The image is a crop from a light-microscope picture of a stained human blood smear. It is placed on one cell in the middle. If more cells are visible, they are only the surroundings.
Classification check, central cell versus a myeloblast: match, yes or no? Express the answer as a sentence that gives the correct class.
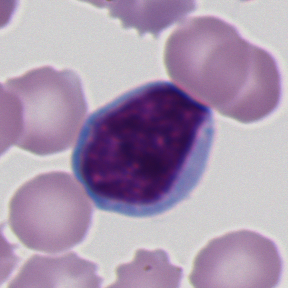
No, it is a typical lymphocyte rather than a myeloblast that the middle of the crop contains.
